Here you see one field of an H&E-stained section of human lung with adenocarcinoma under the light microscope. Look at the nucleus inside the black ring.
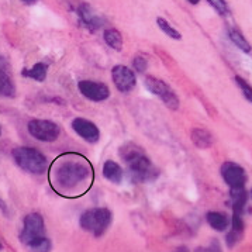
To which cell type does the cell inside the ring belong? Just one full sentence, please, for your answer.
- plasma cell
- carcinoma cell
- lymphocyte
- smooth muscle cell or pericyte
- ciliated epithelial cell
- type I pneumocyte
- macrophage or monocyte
Labelled by cell type, the cell inside the ring is a plasma cell.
